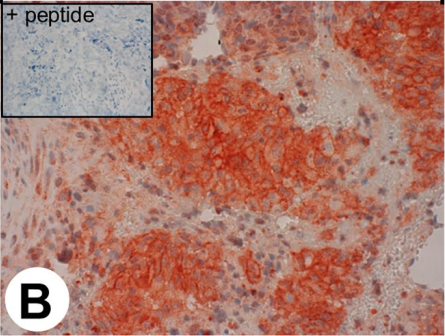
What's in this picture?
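Carcinoma with solid nests of crowded epithelial tumour cells, intensely red-brown along their membranes and cytoplasm. The nests are separated by paler stroma with elongated spindle-shaped nuclei and a few scattered stained cells.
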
